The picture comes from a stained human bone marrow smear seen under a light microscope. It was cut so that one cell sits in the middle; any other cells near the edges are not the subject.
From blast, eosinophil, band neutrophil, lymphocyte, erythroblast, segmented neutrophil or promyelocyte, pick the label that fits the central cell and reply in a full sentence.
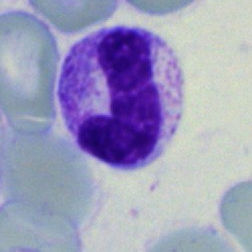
Present in the middle of the crop is a band neutrophil.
